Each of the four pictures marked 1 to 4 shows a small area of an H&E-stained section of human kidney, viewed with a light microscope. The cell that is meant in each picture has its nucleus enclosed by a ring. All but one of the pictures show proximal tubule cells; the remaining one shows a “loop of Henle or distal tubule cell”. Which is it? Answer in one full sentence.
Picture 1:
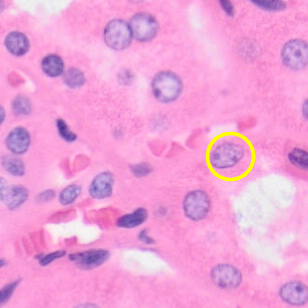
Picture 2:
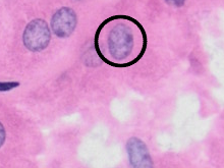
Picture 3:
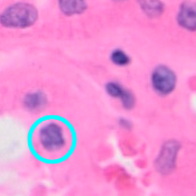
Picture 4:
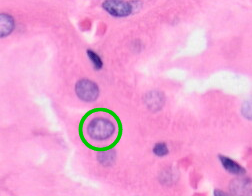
The “loop of Henle or distal tubule cell” is the one in picture 3.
